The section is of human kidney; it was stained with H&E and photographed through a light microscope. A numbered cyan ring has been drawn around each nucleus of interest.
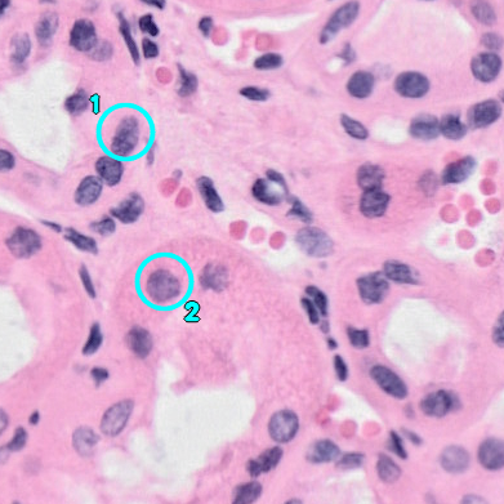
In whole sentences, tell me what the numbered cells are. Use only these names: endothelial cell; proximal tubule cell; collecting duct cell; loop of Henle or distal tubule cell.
Cell 1 is a collecting duct cell and cell 2 is a proximal tubule cell.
